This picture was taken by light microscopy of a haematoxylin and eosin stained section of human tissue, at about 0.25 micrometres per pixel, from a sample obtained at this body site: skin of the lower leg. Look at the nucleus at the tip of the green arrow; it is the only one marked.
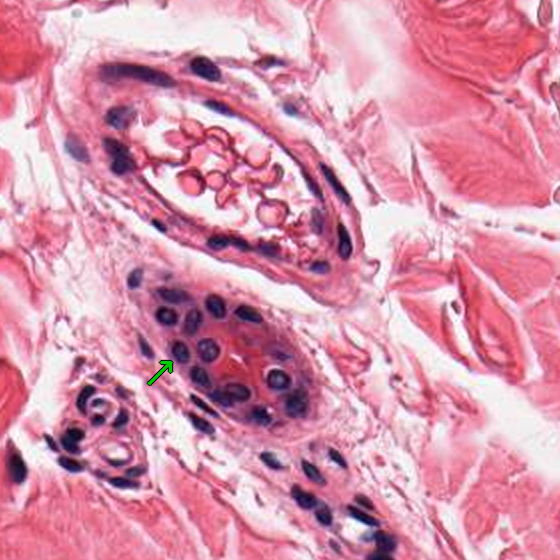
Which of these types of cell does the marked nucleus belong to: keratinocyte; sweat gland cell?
sweat gland cell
